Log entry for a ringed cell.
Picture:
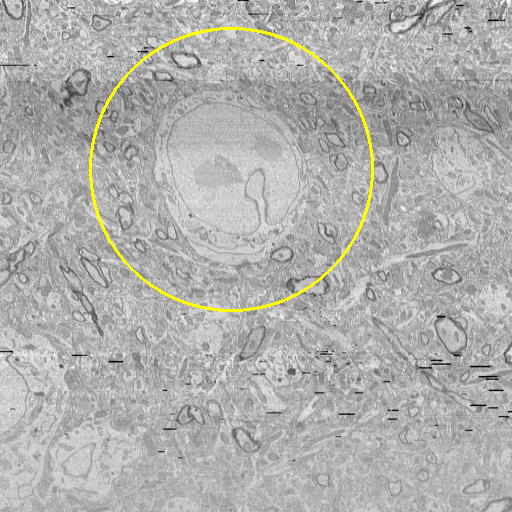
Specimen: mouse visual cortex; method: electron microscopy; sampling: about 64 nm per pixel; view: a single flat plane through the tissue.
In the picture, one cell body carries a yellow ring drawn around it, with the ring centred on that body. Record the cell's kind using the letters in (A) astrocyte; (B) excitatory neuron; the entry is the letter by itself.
B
